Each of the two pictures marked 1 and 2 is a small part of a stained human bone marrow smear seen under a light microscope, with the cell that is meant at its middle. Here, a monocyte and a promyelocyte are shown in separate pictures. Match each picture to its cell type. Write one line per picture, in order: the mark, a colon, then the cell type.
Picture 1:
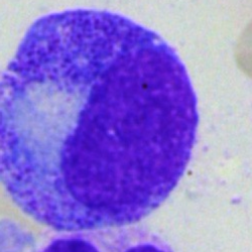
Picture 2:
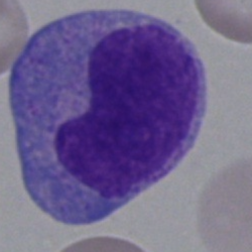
1: promyelocyte
2: monocyte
